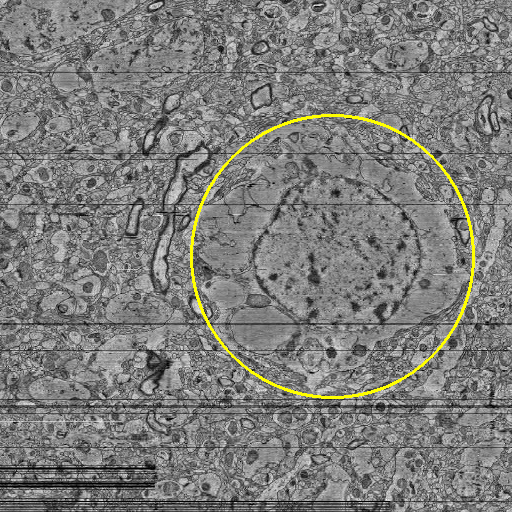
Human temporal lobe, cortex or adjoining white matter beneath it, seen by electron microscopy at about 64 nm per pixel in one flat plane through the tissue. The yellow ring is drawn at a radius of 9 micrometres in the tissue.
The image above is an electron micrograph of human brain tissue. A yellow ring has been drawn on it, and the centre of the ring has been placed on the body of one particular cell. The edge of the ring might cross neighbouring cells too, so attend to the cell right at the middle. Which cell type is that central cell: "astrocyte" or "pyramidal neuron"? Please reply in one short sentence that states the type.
The central cell in the ring is an astrocyte.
